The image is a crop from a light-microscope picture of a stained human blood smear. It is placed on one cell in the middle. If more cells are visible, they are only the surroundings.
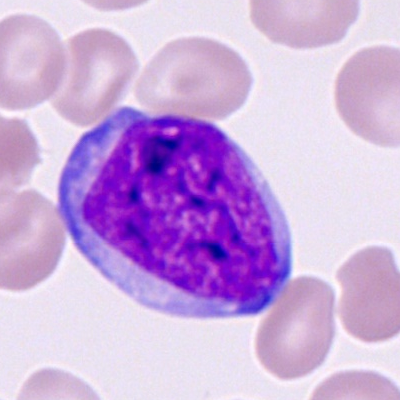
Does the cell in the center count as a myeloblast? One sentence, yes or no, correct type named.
Yes, the cell at the center of the crop is a myeloblast.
